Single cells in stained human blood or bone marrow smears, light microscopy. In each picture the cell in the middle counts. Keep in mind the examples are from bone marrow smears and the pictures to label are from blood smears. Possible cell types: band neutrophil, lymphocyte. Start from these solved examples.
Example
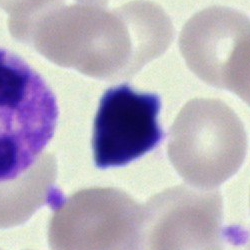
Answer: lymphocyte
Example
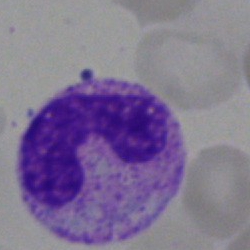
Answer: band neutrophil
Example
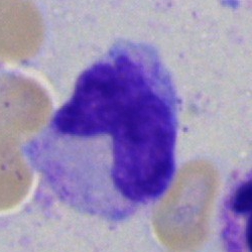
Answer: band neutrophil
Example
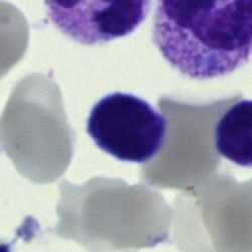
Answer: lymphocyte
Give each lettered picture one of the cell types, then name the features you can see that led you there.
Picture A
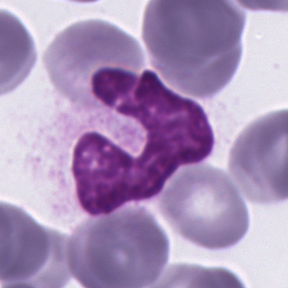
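band neutrophil. The nucleus is bent into a curved, C-like shape with a deep notch that opens toward the left.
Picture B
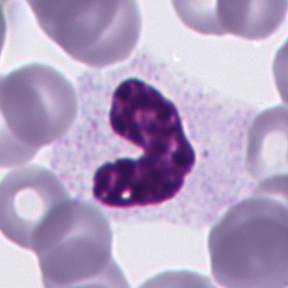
band neutrophil. The cytoplasm is abundant and surrounds the nucleus on all sides.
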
